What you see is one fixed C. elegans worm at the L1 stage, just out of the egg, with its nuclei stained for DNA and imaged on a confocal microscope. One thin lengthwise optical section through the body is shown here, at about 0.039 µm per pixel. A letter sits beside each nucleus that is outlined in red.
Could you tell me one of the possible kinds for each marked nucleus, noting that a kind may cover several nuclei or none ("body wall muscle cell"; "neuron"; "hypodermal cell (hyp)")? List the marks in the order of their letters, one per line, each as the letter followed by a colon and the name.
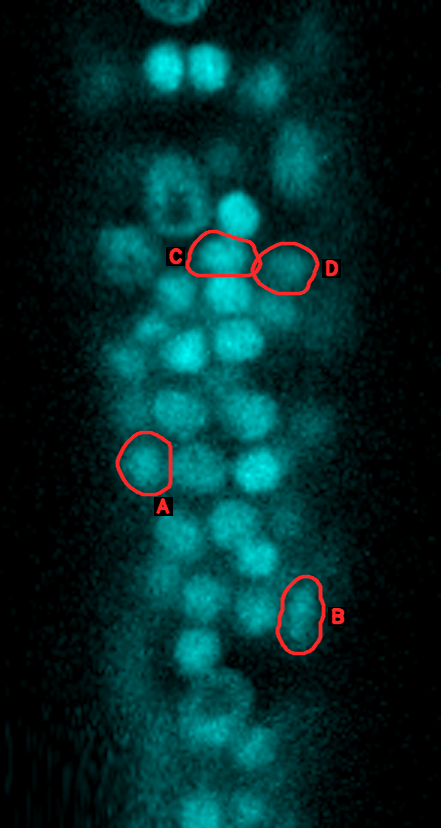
A: neuron
B: body wall muscle cell
C: neuron
D: neuron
